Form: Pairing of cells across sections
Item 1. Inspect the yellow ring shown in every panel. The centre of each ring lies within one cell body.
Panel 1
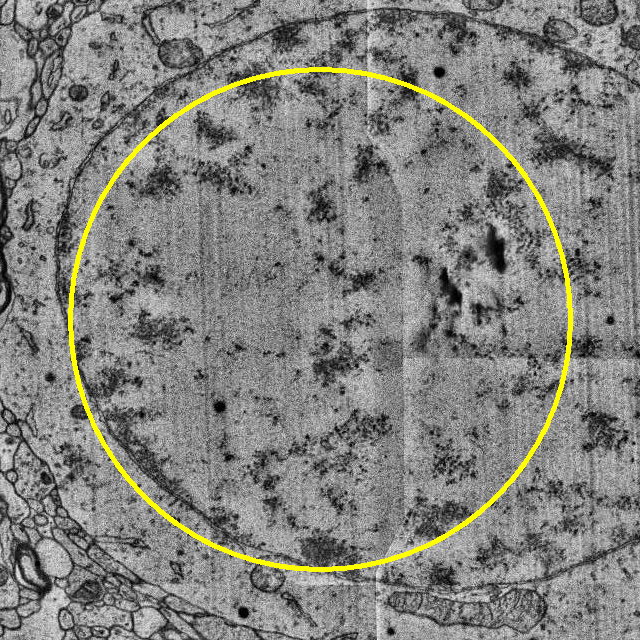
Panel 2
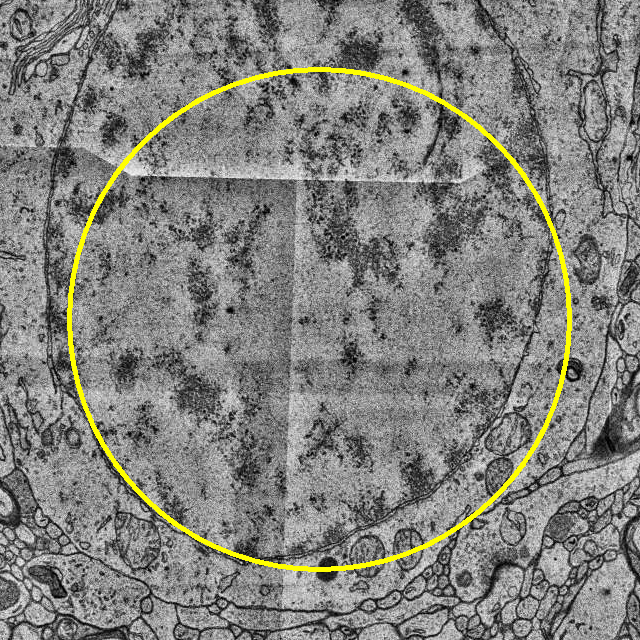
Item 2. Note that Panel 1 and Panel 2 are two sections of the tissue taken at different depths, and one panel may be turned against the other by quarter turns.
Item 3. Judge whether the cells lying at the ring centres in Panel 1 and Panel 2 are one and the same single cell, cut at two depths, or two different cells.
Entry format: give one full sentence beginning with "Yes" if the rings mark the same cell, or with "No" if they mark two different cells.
Yes, both rings identify a single, shared cell.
